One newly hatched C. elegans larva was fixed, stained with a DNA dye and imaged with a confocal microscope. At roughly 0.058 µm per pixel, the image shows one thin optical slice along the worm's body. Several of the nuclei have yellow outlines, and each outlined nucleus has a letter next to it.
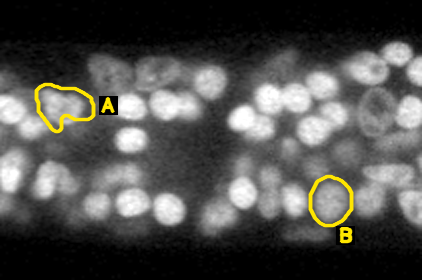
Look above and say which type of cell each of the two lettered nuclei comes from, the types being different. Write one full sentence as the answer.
Nucleus A comes from a pharyngeal muscle cell and nucleus B from a neuron.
